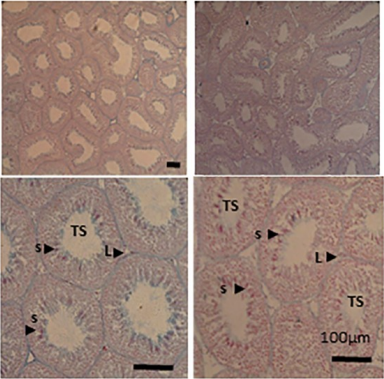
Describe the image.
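This is testis tissue cut across many rounded and lobed seminiferous tubules, each a ring of densely packed purple-stained germ cells and Sertoli cells around a pale central lumen. At low magnification the tubules fill the section edge to edge, separated only by thin strands of interstitial tissue. At higher magnification the cell layers run from the tubule wall inward toward the lumen, and small dark elements line the luminal edge where spermatozoa lie. Small clusters of cells in the narrow spaces between neighbouring tubules are the interstitial Leydig cells.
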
